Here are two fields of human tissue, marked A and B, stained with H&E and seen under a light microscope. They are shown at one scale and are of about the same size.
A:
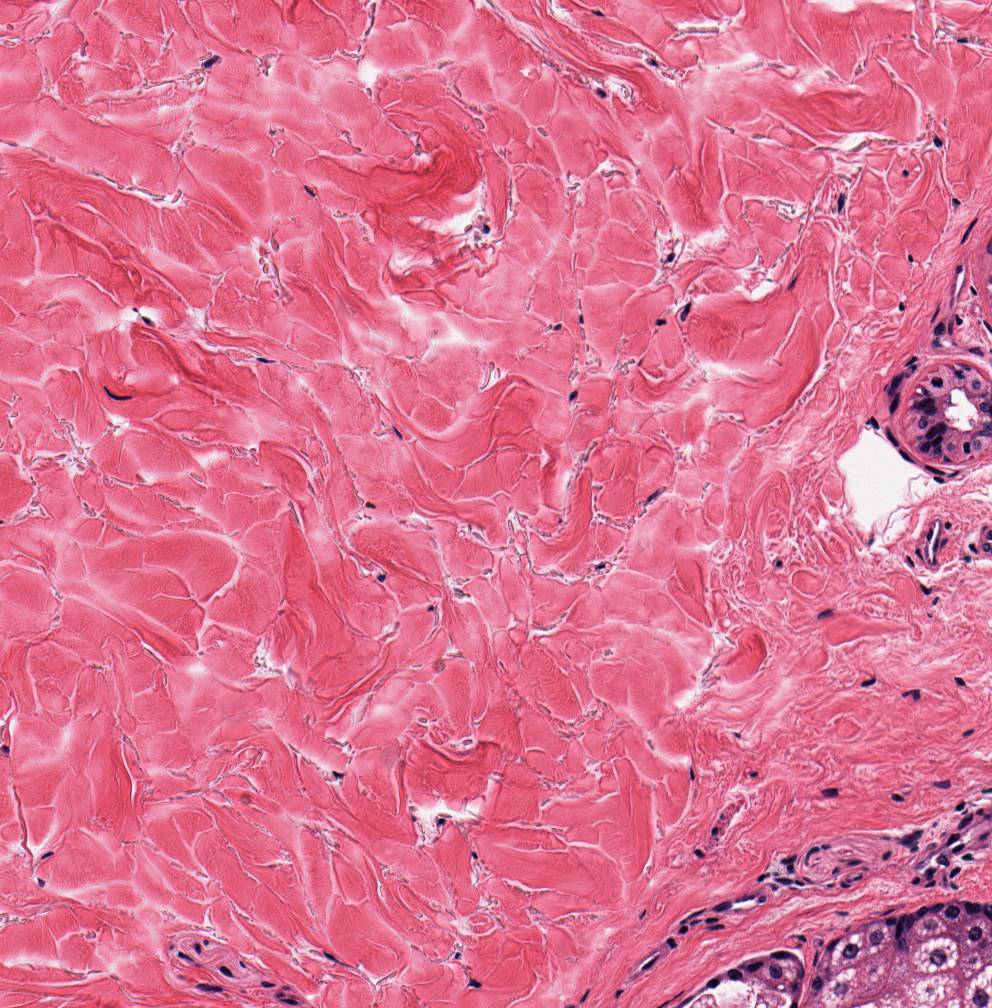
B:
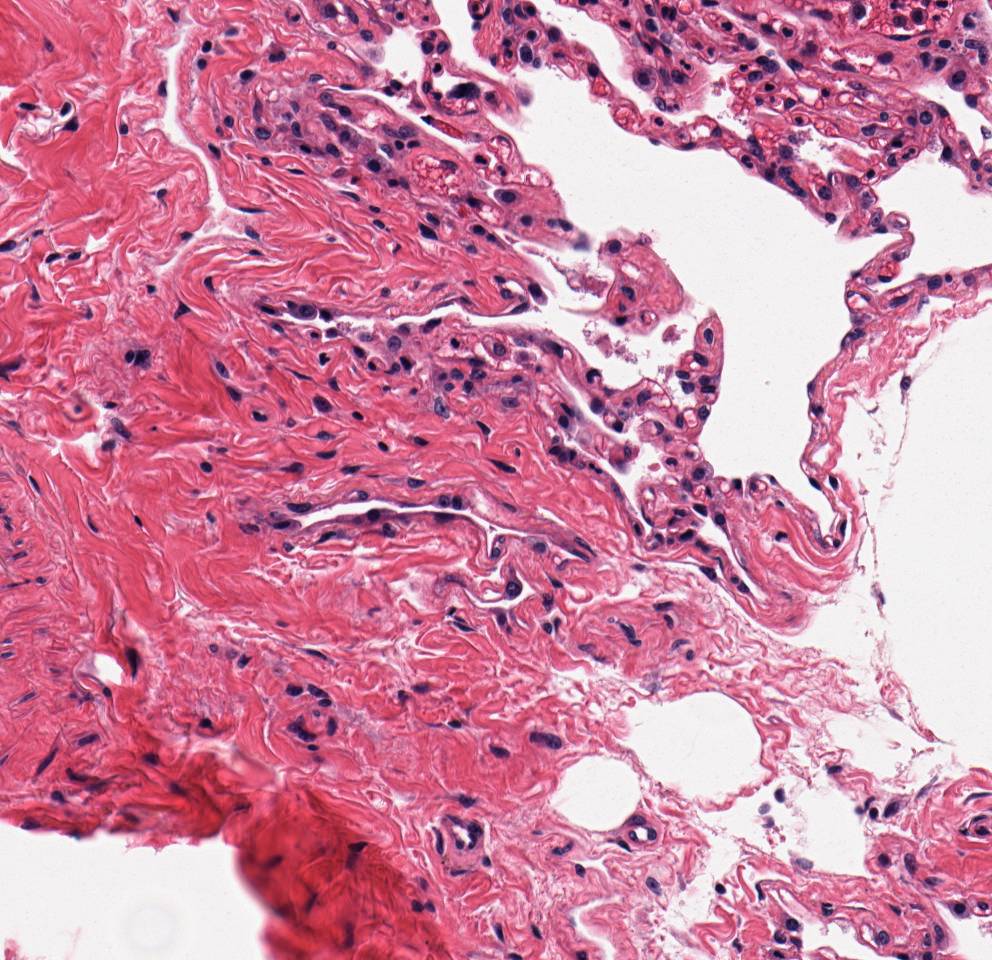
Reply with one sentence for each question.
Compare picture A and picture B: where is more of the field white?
It is picture B in which white space covers the larger part.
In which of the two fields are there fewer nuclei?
There are fewer nuclei in picture A.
